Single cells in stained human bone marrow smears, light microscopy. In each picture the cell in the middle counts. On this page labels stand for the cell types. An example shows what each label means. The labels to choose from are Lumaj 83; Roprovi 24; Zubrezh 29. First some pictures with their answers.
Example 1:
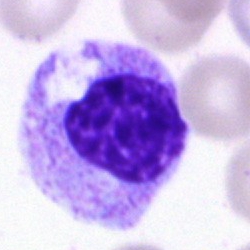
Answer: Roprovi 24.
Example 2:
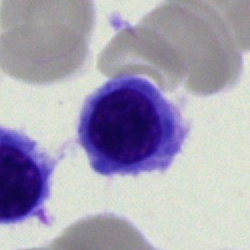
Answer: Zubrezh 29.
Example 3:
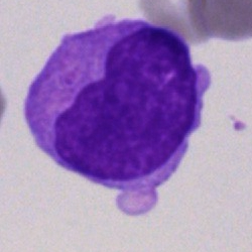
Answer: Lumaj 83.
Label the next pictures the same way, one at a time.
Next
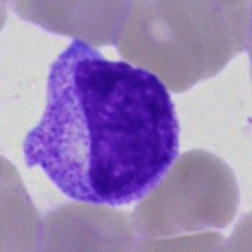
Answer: Roprovi 24.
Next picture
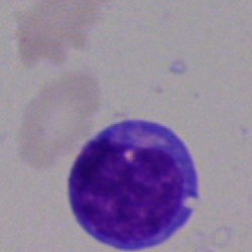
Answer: Lumaj 83.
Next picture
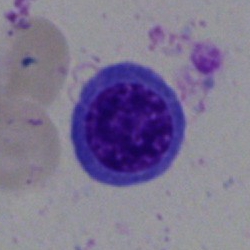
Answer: Zubrezh 29.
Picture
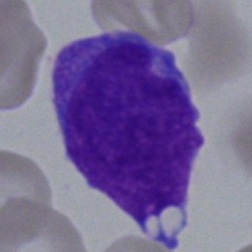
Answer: Lumaj 83.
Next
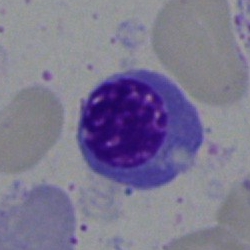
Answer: Zubrezh 29.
